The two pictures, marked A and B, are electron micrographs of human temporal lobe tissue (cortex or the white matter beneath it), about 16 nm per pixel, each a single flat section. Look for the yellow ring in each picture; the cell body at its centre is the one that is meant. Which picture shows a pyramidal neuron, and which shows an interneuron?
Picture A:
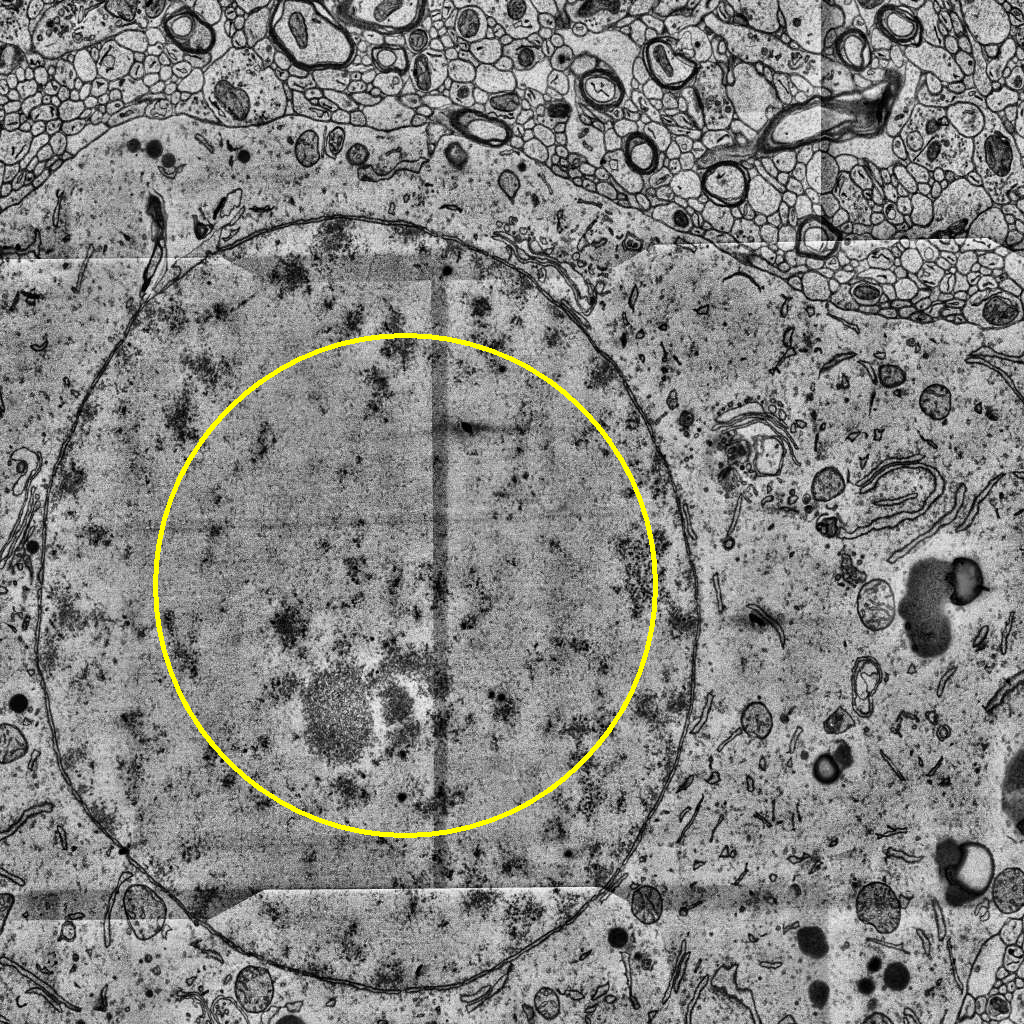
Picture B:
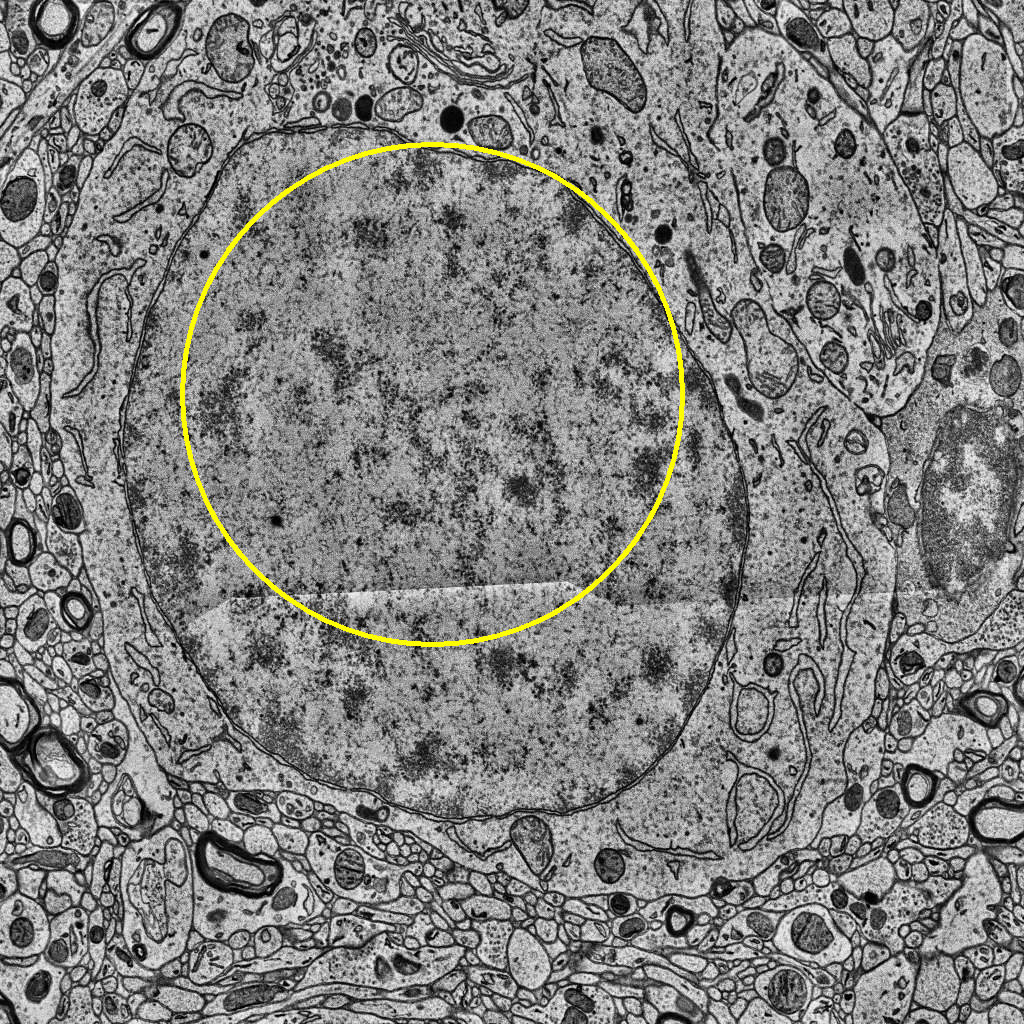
It is picture A that shows a pyramidal neuron, and picture B that shows an interneuron.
